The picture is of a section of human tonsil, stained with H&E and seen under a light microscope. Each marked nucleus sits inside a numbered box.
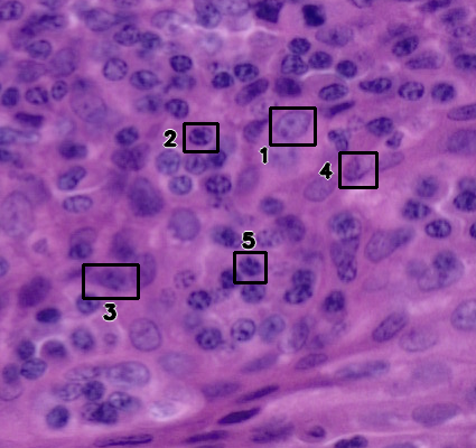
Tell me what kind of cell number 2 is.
plasma cell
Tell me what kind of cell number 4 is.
squamous epithelial cell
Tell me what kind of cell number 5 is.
plasma cell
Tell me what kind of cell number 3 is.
squamous epithelial cell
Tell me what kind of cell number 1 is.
squamous epithelial cell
